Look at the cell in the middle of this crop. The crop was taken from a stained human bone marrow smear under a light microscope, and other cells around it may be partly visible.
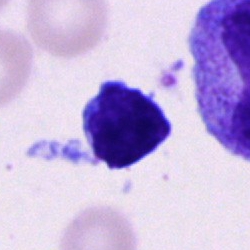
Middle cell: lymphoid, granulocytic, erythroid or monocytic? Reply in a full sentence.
The cell at the crop's center sits within the lymphoid lineage.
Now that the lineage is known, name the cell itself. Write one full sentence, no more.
The middle of this crop is occupied by a lymphocyte.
